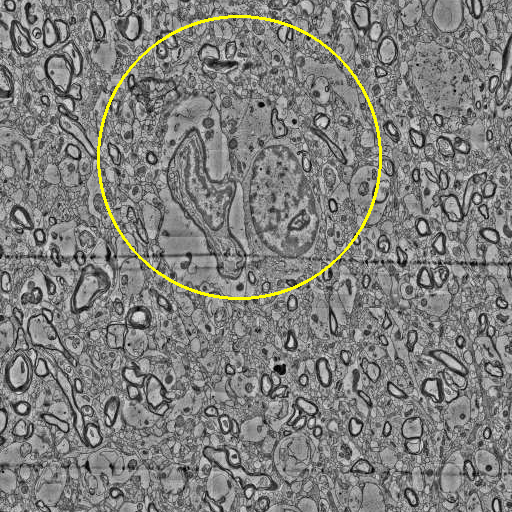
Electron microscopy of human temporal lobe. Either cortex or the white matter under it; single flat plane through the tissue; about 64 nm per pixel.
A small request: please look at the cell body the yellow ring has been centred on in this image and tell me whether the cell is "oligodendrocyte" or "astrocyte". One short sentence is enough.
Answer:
The cell marked by the ring is an oligodendrocyte.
